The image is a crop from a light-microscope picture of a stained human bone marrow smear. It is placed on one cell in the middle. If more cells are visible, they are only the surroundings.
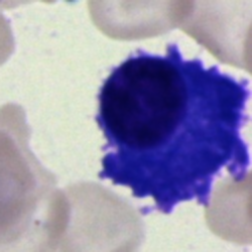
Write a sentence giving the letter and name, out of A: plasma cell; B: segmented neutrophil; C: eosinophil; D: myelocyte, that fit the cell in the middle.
That cell in the center is a plasma cell, hence option A.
